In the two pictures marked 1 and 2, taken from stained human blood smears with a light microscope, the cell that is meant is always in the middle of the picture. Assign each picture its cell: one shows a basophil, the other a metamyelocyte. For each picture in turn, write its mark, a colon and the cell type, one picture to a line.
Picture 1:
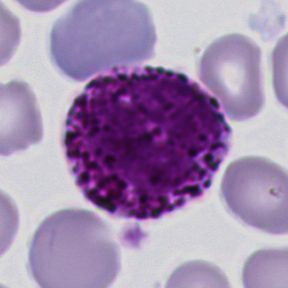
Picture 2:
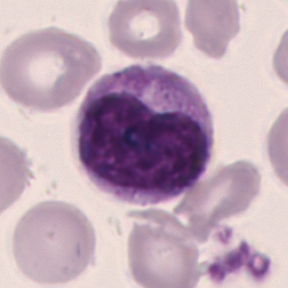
1: basophil
2: metamyelocyte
